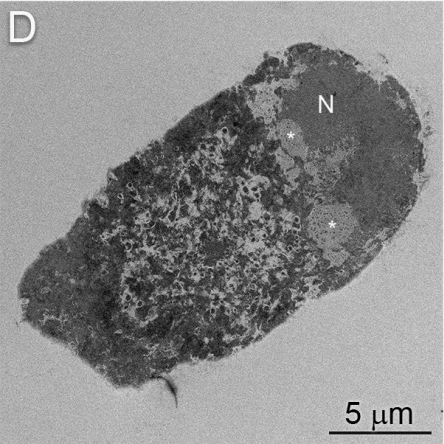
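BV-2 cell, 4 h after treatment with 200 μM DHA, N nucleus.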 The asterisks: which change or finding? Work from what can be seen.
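Regions of low electron density. The pale areas have a fine granular texture.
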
